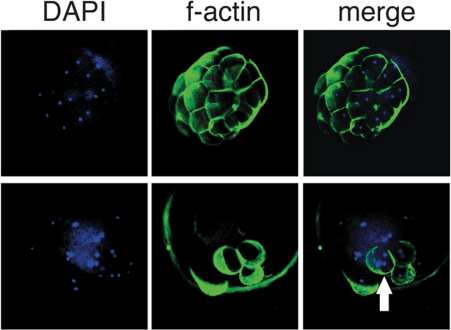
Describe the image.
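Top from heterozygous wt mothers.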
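In the upper embryo the blastodisc is divided into many similar, polygonal cells packed together like cobblestones, each with its own small blue nucleus. In the lower embryo only a handful of cells have formed at the edge of a large undivided mass, and the green membrane lines are few. Some of these few cells contain more than one blue nucleus, and scattered nuclei also lie in the undivided region.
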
